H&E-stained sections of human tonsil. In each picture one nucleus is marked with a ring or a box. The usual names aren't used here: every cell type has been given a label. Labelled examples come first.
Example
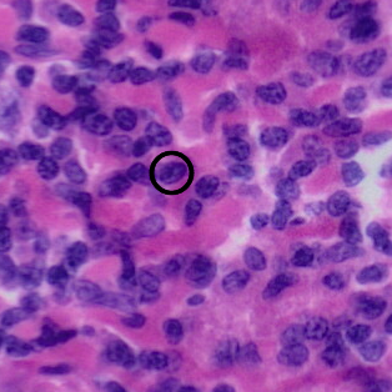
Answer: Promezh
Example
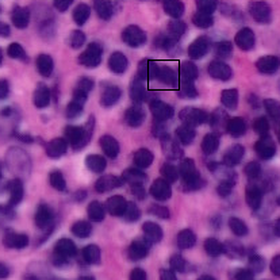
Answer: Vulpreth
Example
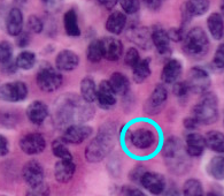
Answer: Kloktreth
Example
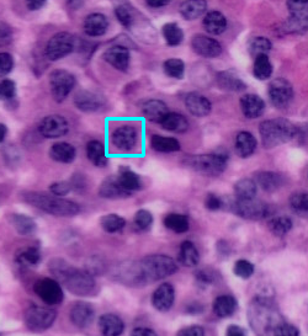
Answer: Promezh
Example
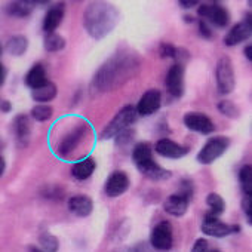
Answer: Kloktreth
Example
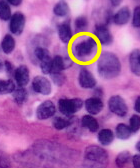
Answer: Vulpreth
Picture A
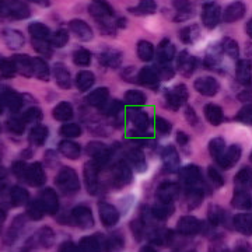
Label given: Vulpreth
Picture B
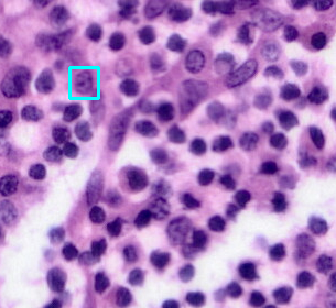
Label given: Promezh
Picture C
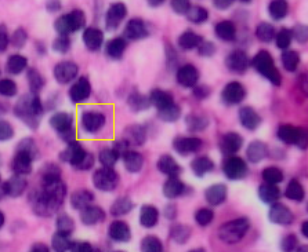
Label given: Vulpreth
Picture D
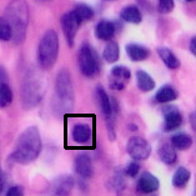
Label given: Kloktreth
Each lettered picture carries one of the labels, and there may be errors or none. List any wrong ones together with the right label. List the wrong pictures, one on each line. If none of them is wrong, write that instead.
Nothing to fix; every label fits.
